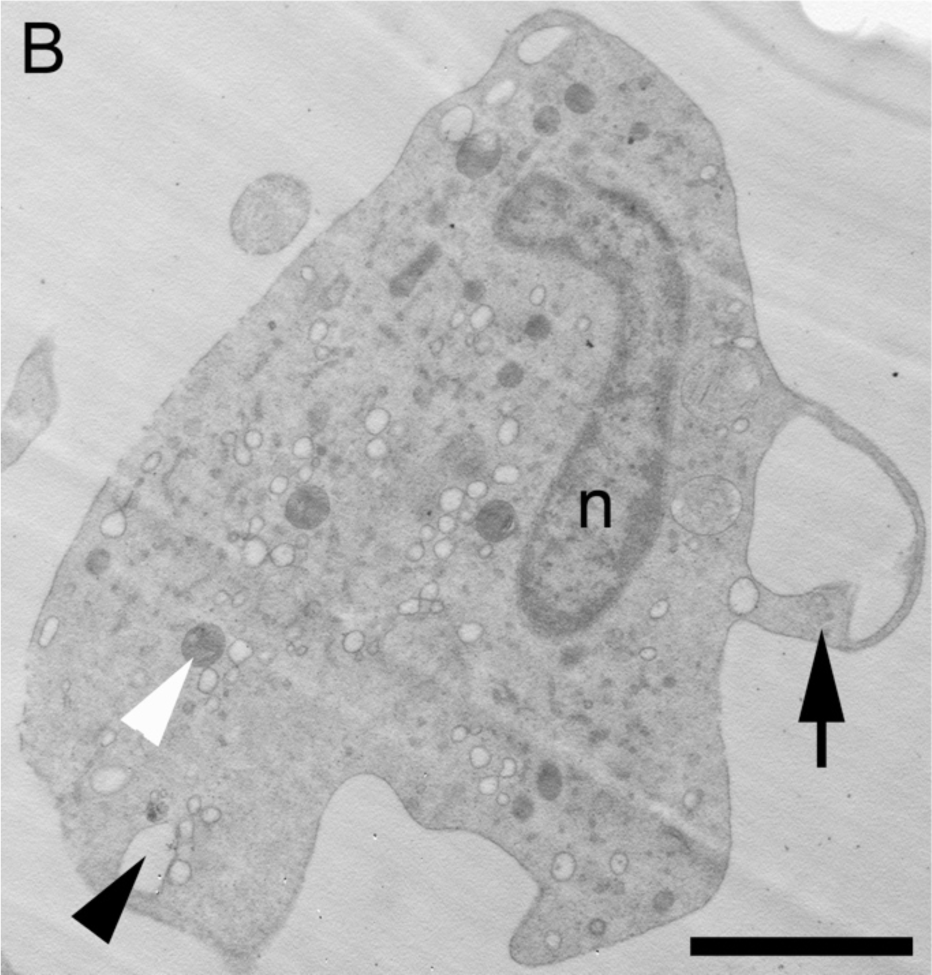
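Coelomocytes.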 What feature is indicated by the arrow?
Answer: Short cytoplasmic extensions.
